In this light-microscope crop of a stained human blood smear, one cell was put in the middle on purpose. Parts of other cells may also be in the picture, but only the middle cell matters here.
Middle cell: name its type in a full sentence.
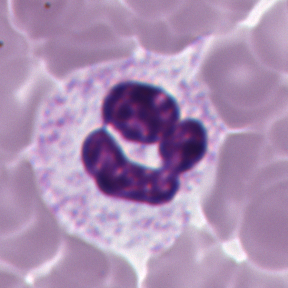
What the crop centres on is a segmented neutrophil.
